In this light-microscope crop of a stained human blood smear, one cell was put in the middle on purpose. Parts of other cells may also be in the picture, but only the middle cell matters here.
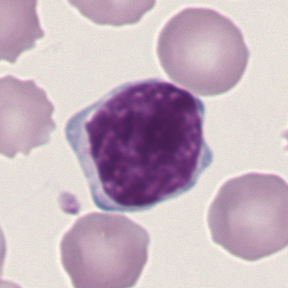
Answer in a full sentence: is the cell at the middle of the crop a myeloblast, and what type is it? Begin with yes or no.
No, the cell placed in the centre is a typical lymphocyte and is not a myeloblast.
